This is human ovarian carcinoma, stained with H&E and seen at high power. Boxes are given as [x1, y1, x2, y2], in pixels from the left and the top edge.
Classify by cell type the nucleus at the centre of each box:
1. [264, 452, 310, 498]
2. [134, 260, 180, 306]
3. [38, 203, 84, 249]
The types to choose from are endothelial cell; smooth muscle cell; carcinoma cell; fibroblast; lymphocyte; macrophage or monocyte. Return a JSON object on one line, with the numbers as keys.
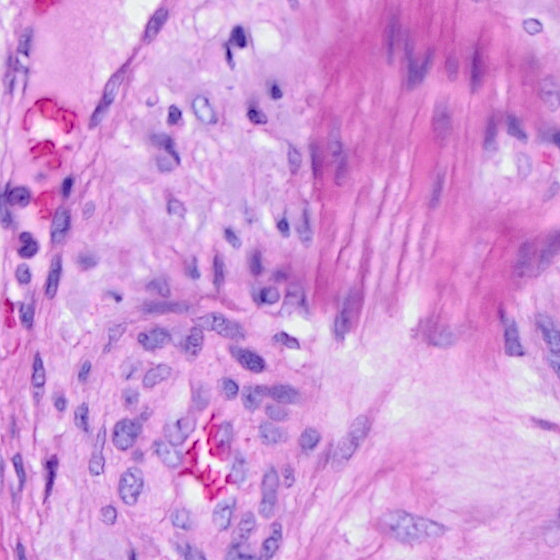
{"1": "fibroblast", "2": "fibroblast", "3": "endothelial cell"}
